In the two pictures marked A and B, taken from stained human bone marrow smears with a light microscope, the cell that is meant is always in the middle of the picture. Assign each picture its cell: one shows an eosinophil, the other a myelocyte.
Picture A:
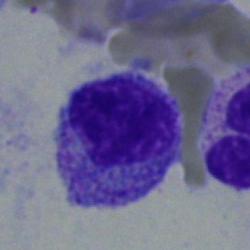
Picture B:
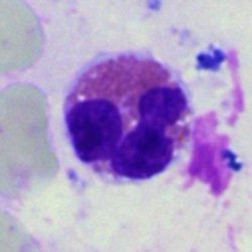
A: myelocyte
B: eosinophil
